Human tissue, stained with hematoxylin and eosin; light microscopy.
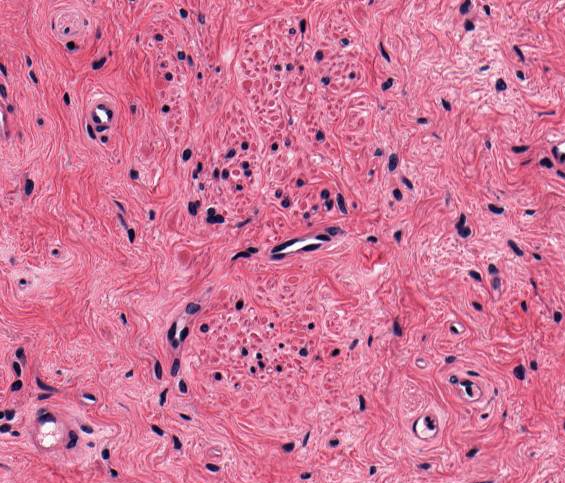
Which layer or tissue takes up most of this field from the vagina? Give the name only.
dense connective tissue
